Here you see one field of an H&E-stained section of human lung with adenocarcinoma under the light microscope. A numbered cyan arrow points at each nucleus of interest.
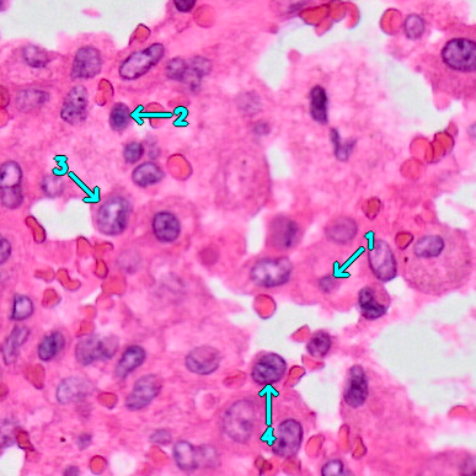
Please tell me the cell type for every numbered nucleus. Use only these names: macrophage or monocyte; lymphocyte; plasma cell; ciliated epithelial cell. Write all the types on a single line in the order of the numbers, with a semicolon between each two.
macrophage or monocyte; lymphocyte; macrophage or monocyte; macrophage or monocyte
